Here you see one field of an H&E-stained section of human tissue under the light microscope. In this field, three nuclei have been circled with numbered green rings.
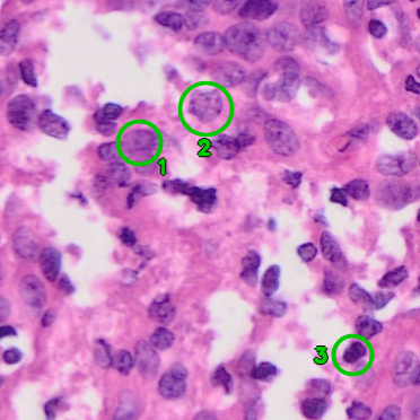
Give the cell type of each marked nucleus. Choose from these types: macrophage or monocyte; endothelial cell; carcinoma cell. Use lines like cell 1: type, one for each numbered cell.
cell 1: carcinoma cell
cell 2: macrophage or monocyte
cell 3: carcinoma cell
